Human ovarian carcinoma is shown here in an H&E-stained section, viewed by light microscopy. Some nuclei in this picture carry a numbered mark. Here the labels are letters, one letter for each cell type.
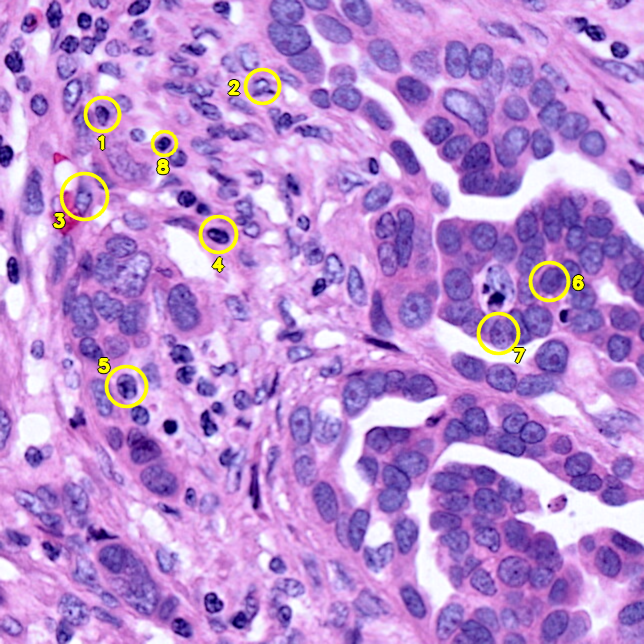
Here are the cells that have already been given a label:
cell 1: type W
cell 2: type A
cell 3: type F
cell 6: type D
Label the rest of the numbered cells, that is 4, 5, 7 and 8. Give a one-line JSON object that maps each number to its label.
{"4": "type W", "5": "type W", "7": "type D", "8": "type W"}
